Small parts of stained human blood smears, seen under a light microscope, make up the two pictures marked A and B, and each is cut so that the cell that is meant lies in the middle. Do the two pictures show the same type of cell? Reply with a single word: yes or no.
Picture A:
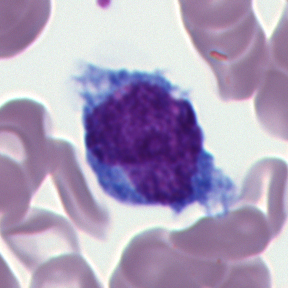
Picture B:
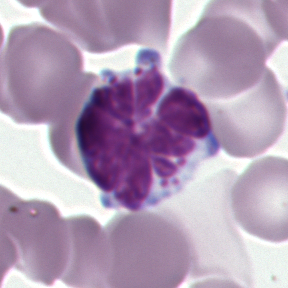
no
